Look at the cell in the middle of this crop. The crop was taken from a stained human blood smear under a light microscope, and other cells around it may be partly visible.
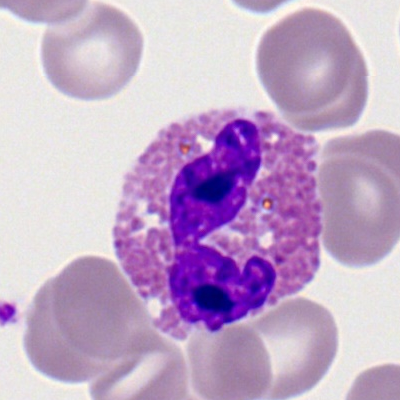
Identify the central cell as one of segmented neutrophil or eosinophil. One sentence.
The cell of interest, located centrally, is an eosinophil.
